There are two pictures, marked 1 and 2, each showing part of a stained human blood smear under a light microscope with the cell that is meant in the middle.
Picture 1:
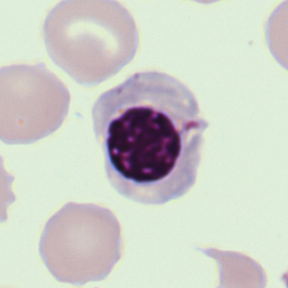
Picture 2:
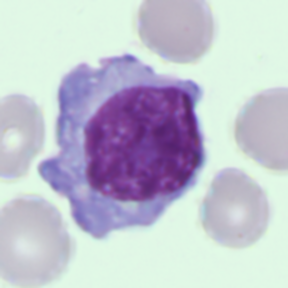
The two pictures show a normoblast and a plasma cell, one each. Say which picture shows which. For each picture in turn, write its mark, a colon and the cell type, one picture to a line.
1: normoblast
2: plasma cell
